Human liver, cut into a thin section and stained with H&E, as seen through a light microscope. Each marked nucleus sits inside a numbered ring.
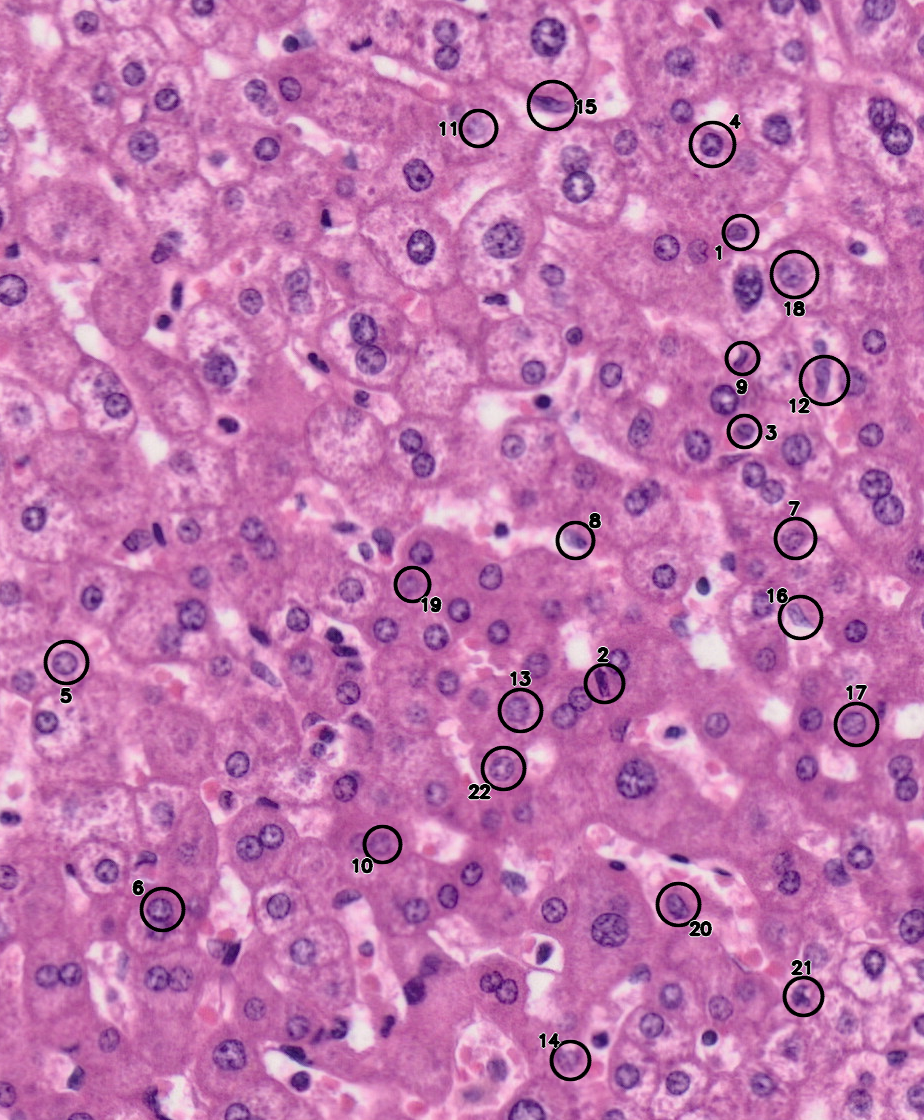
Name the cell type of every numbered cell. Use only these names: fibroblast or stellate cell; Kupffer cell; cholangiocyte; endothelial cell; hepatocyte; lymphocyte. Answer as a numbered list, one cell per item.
1. Kupffer cell
2. fibroblast or stellate cell
3. Kupffer cell
4. hepatocyte
5. hepatocyte
6. hepatocyte
7. hepatocyte
8. endothelial cell
9. endothelial cell
10. hepatocyte
11. hepatocyte
12. Kupffer cell
13. hepatocyte
14. hepatocyte
15. Kupffer cell
16. endothelial cell
17. hepatocyte
18. hepatocyte
19. hepatocyte
20. Kupffer cell
21. endothelial cell
22. hepatocyte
